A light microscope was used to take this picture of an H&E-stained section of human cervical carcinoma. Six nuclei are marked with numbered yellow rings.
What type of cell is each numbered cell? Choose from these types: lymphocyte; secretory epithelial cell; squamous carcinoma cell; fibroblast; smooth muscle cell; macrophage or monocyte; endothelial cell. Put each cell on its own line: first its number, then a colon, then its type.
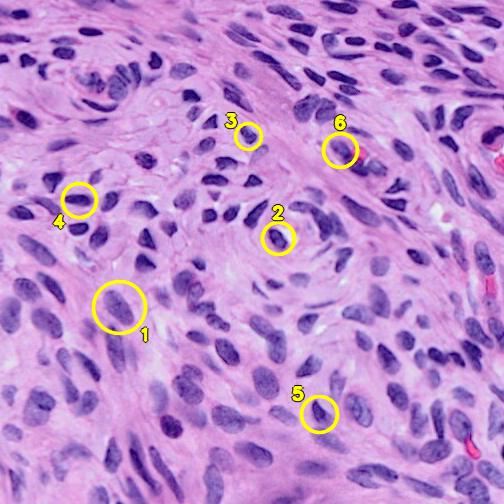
1: fibroblast
2: endothelial cell
3: fibroblast
4: fibroblast
5: fibroblast
6: endothelial cell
